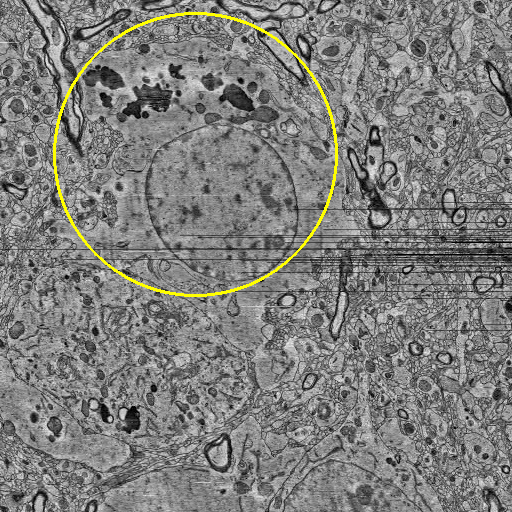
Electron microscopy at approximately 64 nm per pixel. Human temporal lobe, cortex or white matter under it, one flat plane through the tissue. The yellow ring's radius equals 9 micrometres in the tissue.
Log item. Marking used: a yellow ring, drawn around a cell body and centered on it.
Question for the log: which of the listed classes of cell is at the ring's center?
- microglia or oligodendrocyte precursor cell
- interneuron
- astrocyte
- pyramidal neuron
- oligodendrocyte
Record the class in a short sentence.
At the center of the ring lies an astrocyte.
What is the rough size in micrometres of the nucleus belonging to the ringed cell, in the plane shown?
In this plane, the nucleus is roughly 11 by 9 micrometres.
